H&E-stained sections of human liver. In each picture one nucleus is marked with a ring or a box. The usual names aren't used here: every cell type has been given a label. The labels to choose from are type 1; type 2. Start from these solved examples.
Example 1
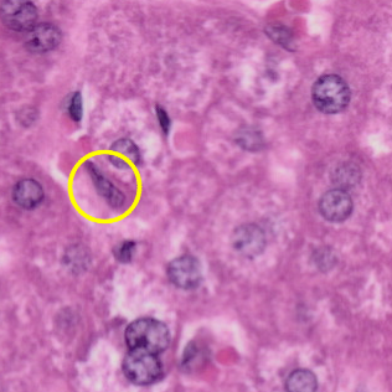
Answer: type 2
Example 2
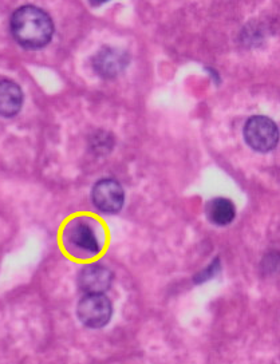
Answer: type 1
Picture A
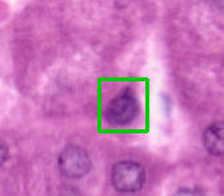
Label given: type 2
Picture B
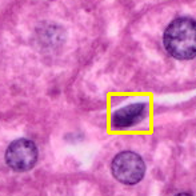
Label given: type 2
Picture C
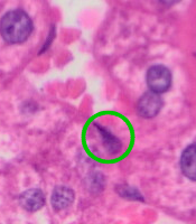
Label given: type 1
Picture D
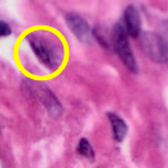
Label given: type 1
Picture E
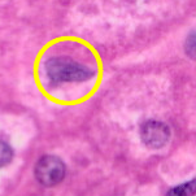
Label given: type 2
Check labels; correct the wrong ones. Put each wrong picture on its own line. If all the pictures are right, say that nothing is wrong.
All labels are correct.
